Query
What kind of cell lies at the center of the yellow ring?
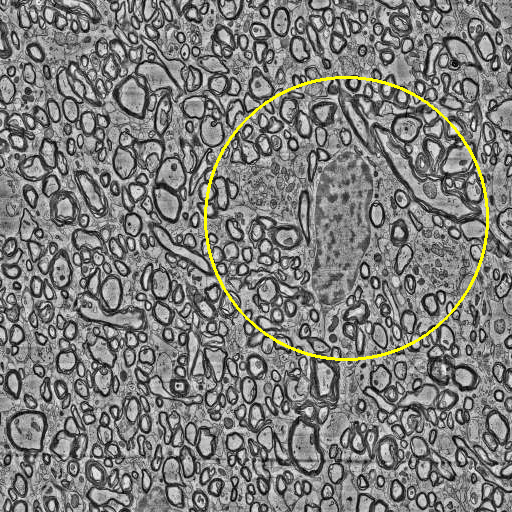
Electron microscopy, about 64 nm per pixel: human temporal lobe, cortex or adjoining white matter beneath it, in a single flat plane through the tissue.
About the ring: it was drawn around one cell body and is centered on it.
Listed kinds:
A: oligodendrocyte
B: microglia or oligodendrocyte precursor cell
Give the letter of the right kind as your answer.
B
